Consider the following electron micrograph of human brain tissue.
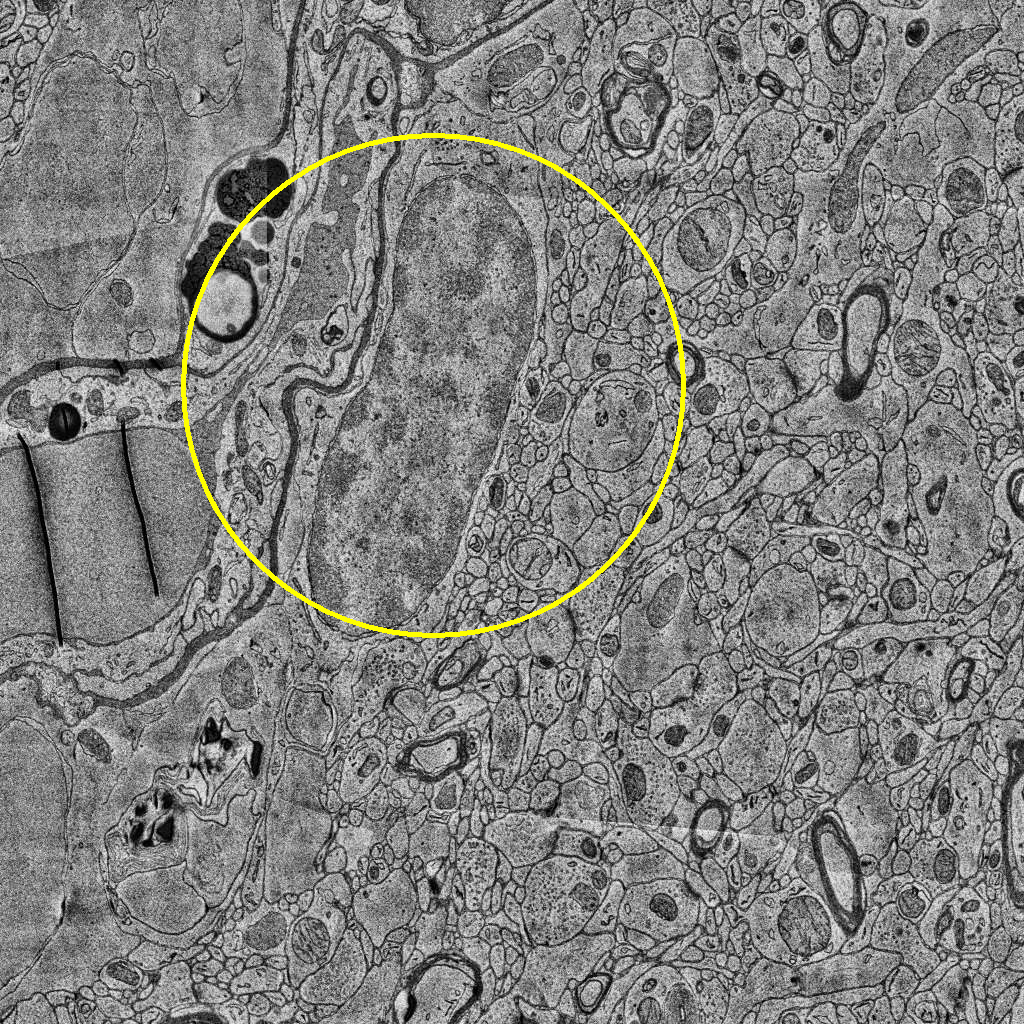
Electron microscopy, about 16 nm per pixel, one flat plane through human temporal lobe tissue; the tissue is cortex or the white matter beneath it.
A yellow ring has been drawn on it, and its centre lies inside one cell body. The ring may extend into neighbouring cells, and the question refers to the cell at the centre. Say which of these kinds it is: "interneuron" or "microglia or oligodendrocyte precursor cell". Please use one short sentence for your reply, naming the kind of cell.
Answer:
The centre of the ring falls on a microglial cell or oligodendrocyte precursor cell.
